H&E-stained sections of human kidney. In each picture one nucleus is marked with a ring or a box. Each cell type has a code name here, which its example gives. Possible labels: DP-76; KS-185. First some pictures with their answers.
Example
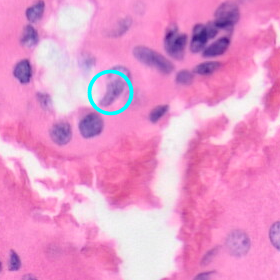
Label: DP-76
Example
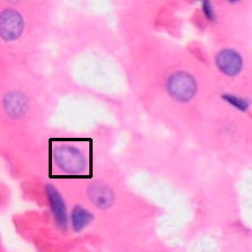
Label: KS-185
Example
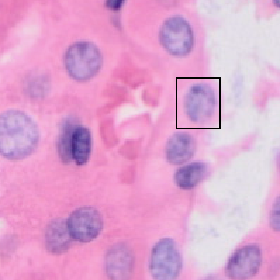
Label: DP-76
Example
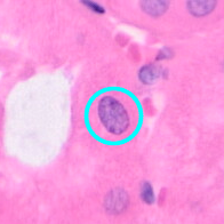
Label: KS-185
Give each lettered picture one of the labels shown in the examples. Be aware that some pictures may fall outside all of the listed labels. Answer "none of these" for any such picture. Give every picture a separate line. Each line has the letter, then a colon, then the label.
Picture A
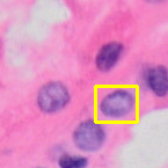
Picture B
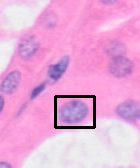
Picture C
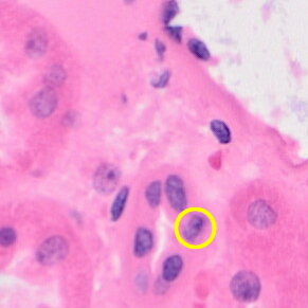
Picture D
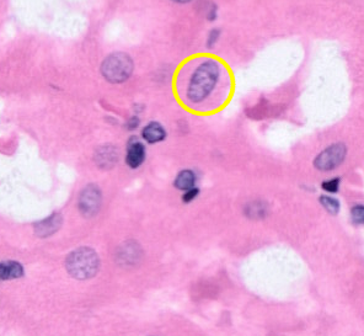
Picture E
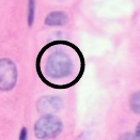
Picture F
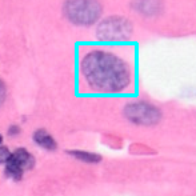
A: DP-76
B: none of these
C: DP-76
D: KS-185
E: DP-76
F: none of these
